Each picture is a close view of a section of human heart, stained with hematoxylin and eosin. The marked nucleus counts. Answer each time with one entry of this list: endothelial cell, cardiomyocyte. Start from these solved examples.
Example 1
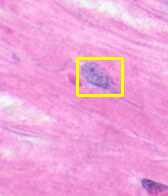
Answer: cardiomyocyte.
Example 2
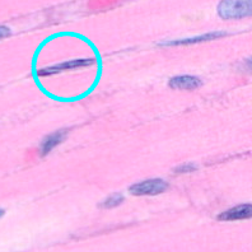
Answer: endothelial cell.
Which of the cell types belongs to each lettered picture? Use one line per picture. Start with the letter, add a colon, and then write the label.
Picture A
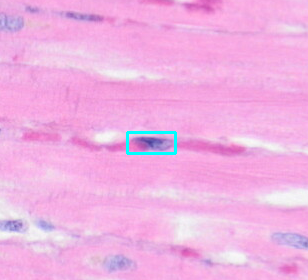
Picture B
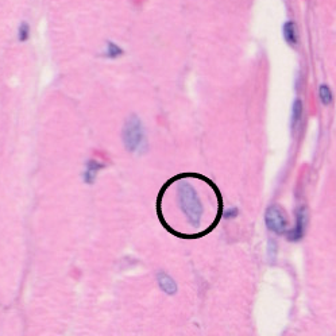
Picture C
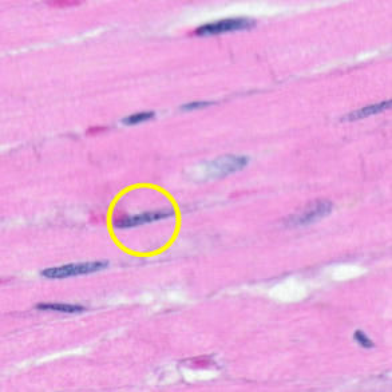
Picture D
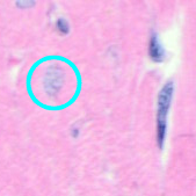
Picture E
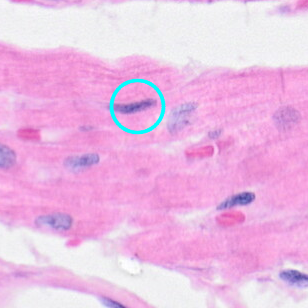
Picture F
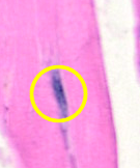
A: endothelial cell.
B: cardiomyocyte.
C: endothelial cell.
D: cardiomyocyte.
E: endothelial cell.
F: endothelial cell.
